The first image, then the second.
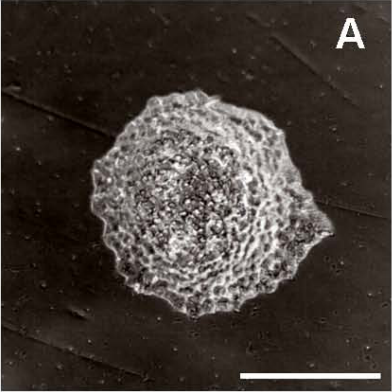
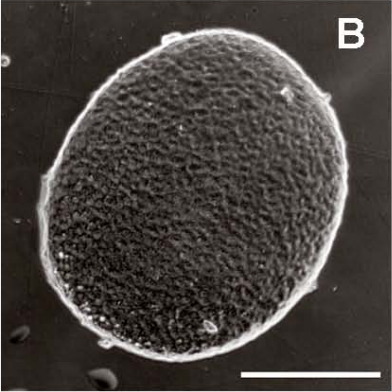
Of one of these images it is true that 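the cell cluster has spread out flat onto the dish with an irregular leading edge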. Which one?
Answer: the first image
